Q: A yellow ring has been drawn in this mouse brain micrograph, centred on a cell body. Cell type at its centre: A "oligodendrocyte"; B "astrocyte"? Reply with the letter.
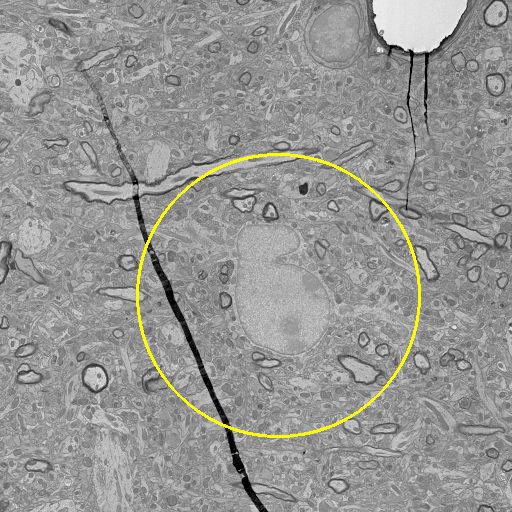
B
